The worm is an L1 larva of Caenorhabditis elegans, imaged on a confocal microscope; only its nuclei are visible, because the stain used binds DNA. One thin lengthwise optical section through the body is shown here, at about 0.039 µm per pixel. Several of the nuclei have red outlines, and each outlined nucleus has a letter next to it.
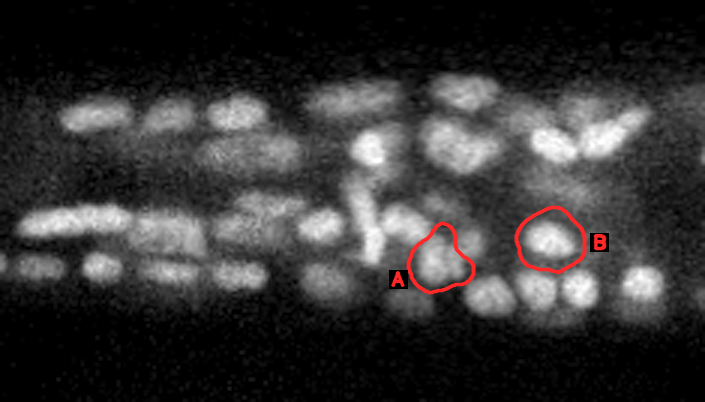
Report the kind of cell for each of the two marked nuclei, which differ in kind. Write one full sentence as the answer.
A is the nucleus of a pharyngeal muscle cell; B is the nucleus of a neuron.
